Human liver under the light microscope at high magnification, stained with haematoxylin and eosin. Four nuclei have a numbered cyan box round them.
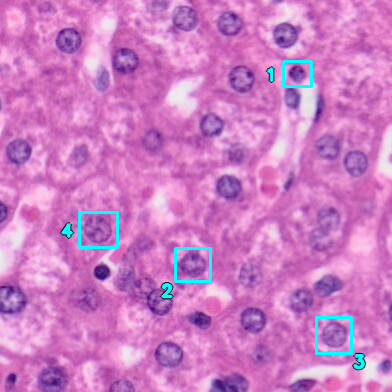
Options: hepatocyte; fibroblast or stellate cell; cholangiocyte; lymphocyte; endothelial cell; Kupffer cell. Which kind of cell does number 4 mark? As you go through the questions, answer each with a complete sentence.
The correct label for cell 4 is a hepatocyte.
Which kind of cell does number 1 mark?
Recognised here as a lymphocyte is the cell numbered 1.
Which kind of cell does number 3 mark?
In this section, the cell numbered 3 is a hepatocyte.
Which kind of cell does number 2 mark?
Identified by the number 2, the cell is a hepatocyte.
